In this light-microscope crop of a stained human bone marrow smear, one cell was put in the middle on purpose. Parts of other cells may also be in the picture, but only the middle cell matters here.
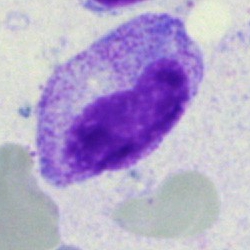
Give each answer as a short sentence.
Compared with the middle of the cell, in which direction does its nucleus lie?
The nucleus sits off-centre, toward the lower right.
